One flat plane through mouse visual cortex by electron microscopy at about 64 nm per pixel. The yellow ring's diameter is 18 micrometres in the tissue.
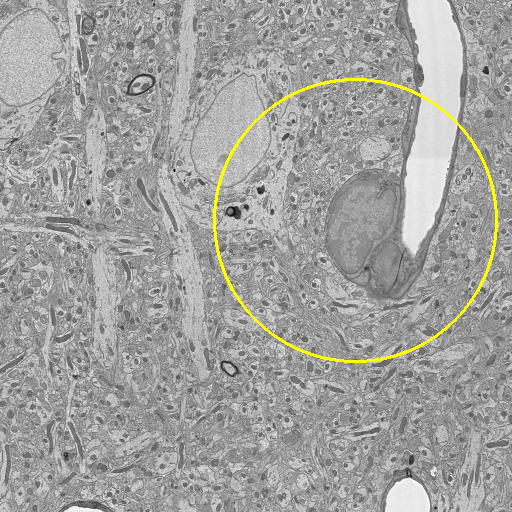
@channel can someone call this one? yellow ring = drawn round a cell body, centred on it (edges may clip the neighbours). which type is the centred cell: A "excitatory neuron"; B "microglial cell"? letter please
B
